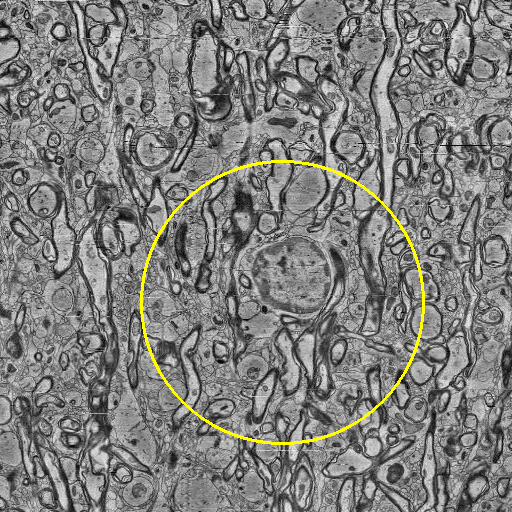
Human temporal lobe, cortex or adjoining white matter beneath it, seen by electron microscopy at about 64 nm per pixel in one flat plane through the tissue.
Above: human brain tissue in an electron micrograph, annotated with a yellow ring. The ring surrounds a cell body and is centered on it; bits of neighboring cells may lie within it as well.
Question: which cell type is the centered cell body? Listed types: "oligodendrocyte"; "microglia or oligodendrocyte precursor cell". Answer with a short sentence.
The centered cell body is a microglial cell or oligodendrocyte precursor cell.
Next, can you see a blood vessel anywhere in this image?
No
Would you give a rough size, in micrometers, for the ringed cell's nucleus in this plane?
The nucleus comes to roughly 5 micrometres across in this plane.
